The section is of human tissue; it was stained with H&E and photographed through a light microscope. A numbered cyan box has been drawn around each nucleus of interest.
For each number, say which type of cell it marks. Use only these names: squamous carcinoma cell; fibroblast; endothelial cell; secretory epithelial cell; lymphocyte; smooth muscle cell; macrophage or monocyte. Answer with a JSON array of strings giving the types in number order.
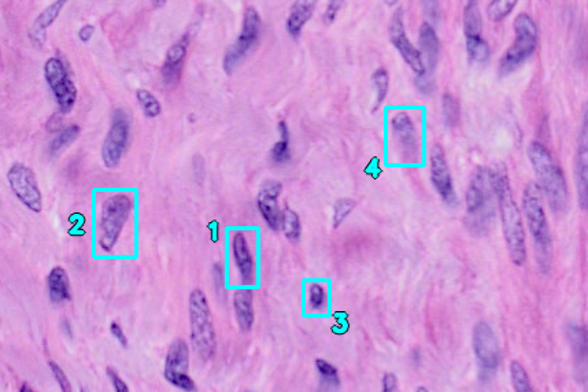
["fibroblast", "fibroblast", "fibroblast", "smooth muscle cell"]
